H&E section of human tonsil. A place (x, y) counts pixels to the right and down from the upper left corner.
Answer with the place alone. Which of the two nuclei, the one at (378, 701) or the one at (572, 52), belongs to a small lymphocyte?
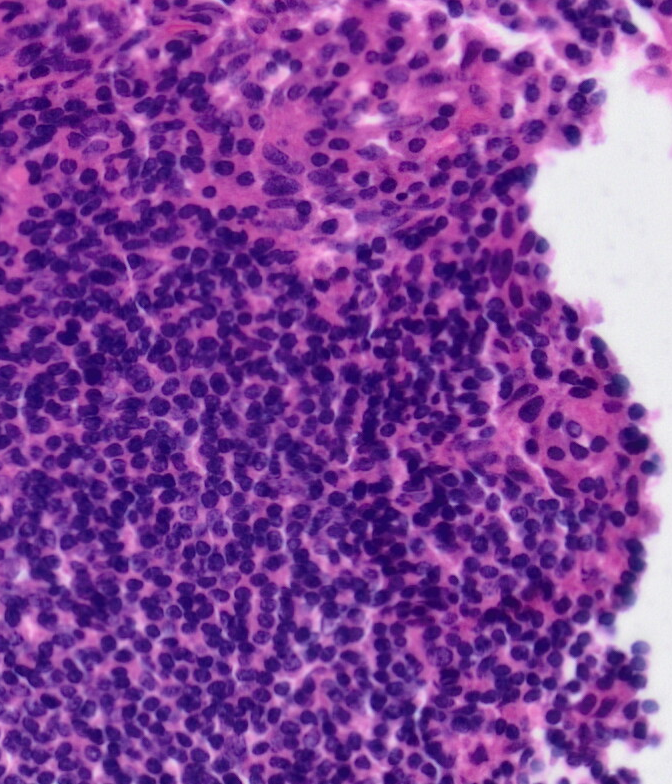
(378, 701)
